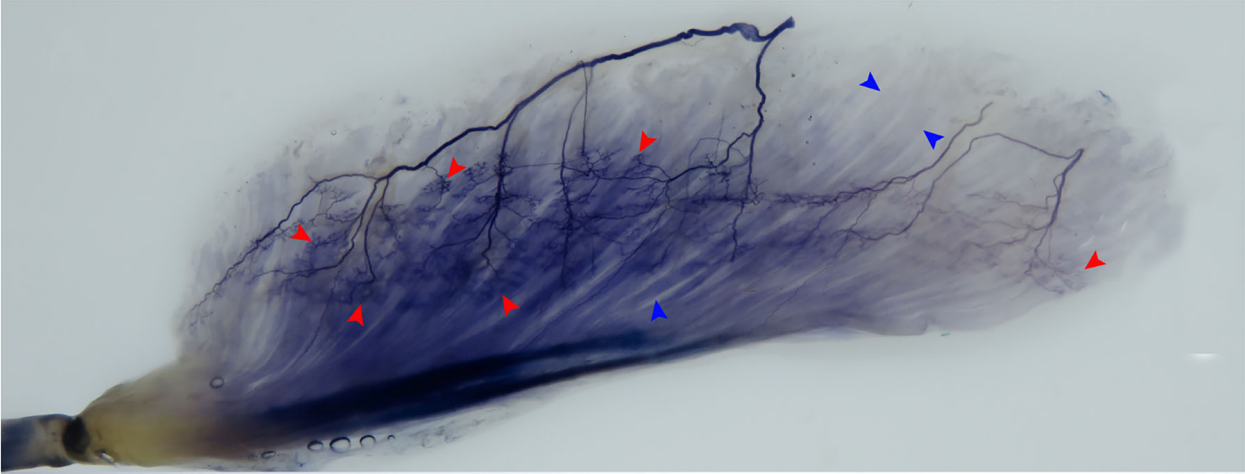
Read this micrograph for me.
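A translucent, fan-shaped piece of muscle is seen whole, with long pale parallel streaks of muscle fibers running diagonally and a dense dark blue band along its lower edge. A thick dark trunk runs along the upper edge and gives off branches that descend into the muscle and break up into fine, tufted arborizations lying across the fibers. These are the intramuscular nerve branches ending as terminal nerves on the muscle fibers.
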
